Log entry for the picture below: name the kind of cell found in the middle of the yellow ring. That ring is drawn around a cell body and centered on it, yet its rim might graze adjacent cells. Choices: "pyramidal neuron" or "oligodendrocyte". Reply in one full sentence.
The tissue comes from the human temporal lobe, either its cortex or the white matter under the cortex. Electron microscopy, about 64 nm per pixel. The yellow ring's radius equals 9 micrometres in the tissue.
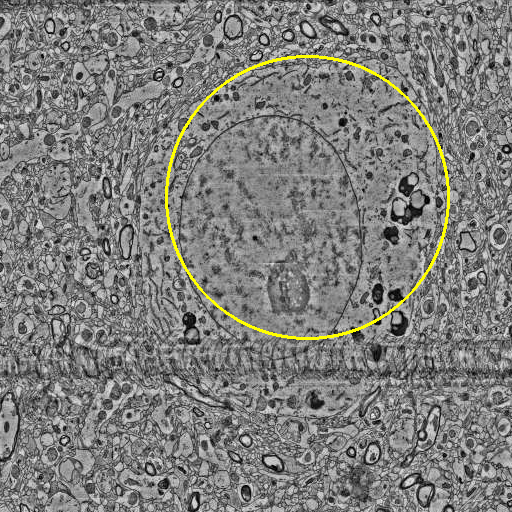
The cell in the middle of the yellow ring in this picture is a pyramidal neuron.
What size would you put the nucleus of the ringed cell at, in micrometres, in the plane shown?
The nucleus appears roughly 15 by 12 micrometres in this plane.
